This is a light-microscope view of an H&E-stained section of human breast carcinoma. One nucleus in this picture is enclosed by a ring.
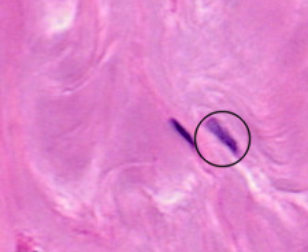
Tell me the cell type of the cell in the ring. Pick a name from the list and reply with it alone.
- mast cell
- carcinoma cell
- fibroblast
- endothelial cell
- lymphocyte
fibroblast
